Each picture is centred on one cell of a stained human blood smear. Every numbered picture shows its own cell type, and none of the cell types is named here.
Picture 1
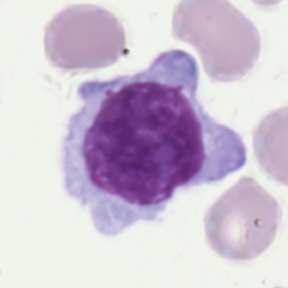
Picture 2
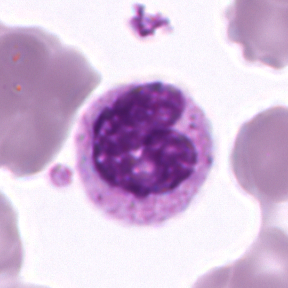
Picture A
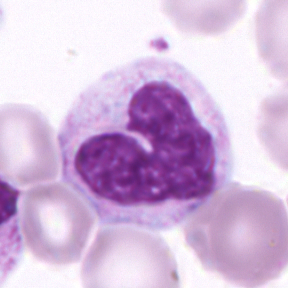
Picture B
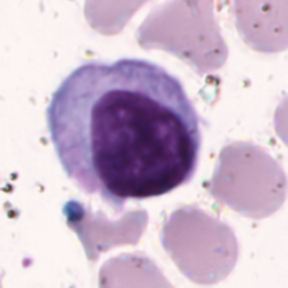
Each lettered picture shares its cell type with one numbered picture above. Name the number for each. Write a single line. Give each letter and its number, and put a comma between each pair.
A 2, B 1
